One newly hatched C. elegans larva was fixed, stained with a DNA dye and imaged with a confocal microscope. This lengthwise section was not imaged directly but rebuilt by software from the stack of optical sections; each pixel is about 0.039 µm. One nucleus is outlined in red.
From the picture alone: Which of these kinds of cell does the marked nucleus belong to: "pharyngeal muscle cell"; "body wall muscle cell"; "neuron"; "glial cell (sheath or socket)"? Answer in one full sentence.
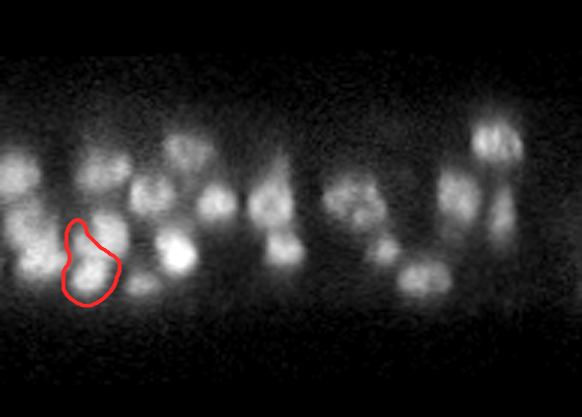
This is the nucleus of a neuron.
